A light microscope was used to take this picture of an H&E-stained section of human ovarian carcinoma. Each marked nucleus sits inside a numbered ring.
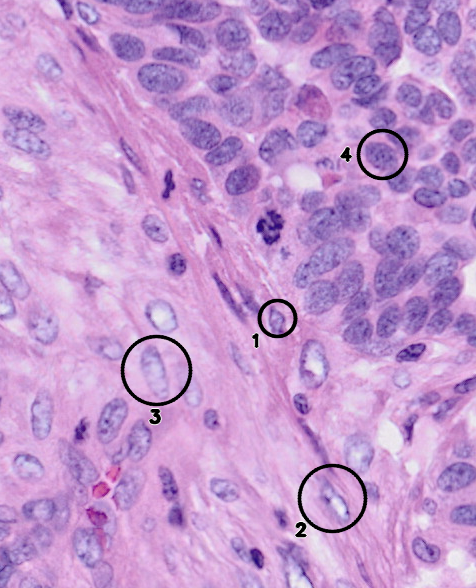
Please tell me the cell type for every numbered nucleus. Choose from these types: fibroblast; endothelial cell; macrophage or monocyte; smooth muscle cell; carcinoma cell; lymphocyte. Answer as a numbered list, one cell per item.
1. fibroblast
2. fibroblast
3. fibroblast
4. carcinoma cell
